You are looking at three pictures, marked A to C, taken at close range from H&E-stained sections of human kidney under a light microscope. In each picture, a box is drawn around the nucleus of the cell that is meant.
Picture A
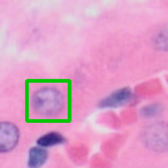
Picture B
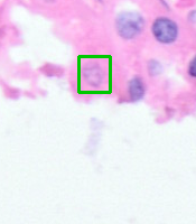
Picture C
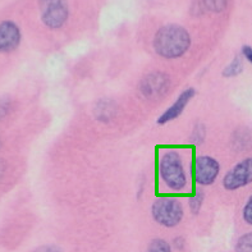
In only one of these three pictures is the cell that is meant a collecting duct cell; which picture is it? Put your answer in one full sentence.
Picture C is the one that shows the collecting duct cell.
